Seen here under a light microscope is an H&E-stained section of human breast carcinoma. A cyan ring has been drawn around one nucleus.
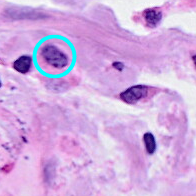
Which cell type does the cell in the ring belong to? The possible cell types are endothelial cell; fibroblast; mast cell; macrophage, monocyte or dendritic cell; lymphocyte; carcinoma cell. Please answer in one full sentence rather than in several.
Histopathologically, the cell in the ring is a mast cell.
